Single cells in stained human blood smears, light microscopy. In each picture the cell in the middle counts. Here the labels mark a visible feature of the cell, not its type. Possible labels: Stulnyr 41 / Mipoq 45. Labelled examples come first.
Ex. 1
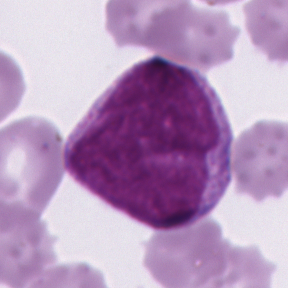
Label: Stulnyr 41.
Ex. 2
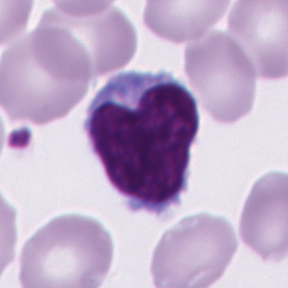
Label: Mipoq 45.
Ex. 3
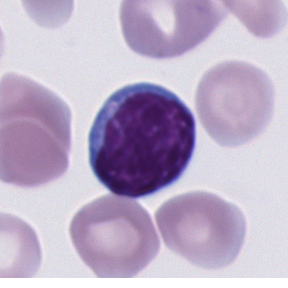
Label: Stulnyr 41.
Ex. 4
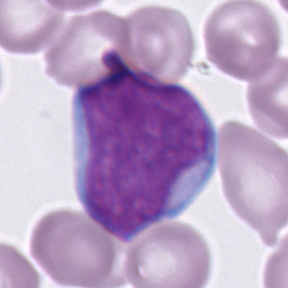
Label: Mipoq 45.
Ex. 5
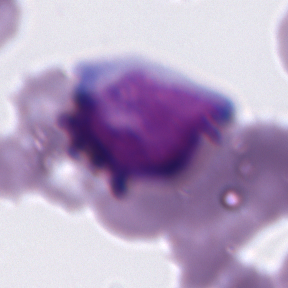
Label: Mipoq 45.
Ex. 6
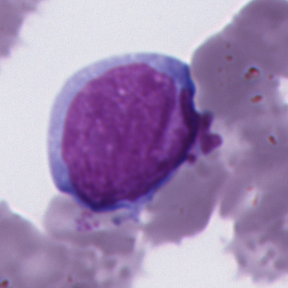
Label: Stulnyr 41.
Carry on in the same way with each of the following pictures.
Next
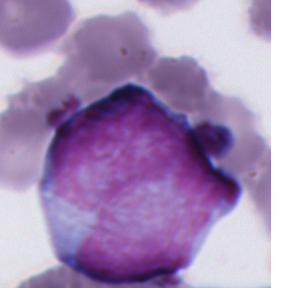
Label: Mipoq 45.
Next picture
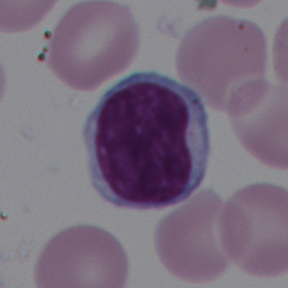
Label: Stulnyr 41.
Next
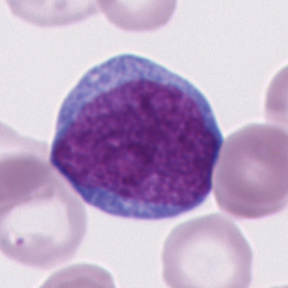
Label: Stulnyr 41.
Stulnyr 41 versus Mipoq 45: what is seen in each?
In Stulnyr 41: smooth outline. In Mipoq 45: ragged outline or projections.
